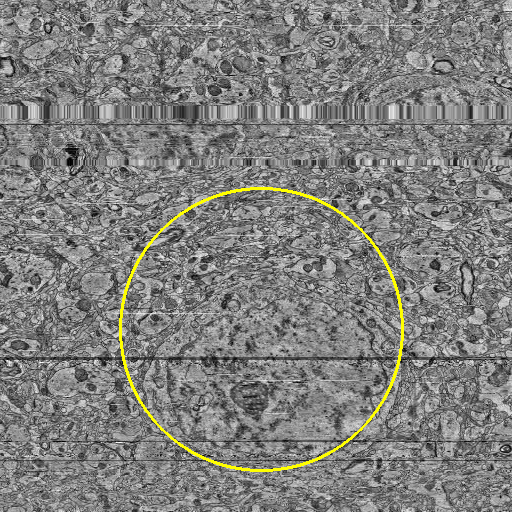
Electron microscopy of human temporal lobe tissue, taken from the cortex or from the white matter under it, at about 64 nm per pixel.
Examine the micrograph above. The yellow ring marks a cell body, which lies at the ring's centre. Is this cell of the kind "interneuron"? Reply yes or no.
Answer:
yes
